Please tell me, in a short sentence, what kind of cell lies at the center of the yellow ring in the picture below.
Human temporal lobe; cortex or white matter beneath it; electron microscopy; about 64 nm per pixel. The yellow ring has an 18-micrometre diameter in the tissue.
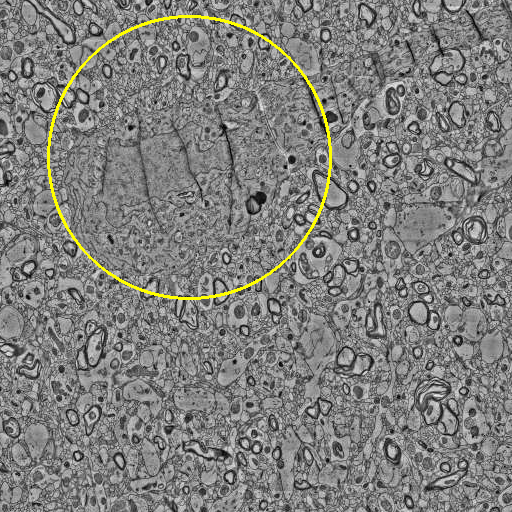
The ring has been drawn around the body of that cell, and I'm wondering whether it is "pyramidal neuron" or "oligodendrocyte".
The cell at the center of the ring is a pyramidal neuron.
